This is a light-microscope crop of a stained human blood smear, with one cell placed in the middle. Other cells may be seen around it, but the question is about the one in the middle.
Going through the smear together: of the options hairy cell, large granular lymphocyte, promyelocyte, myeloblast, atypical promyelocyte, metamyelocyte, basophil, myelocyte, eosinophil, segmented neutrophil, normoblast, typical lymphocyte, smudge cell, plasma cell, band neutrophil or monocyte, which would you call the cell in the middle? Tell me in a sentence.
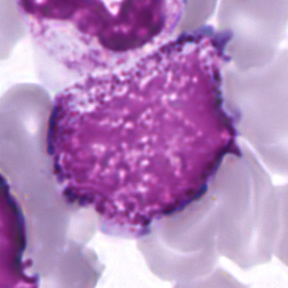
In the centre of this crop there is a myelocyte.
